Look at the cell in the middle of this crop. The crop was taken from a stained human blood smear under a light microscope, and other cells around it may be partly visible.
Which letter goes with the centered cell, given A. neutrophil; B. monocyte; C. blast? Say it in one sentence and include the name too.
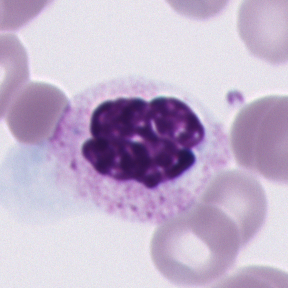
In this crop the middle cell is a neutrophil, so option A is the correct answer.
